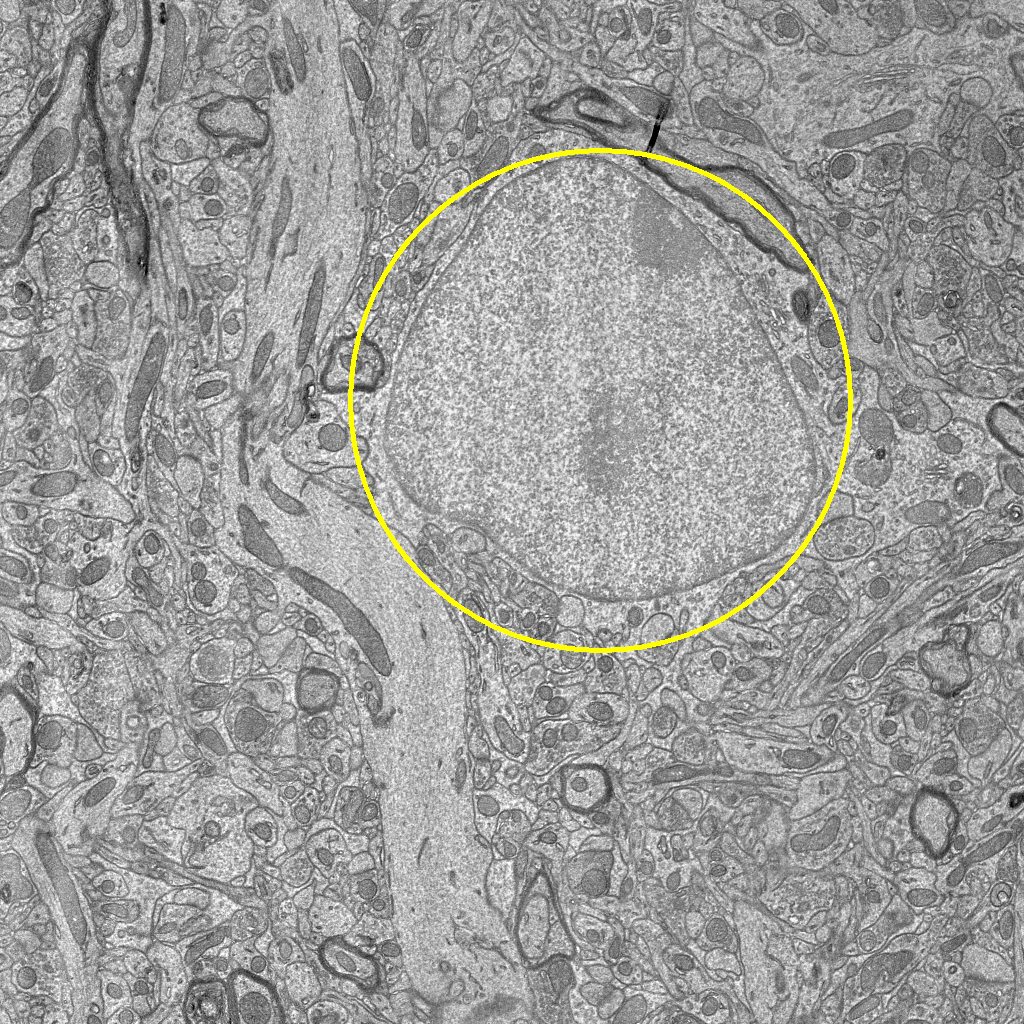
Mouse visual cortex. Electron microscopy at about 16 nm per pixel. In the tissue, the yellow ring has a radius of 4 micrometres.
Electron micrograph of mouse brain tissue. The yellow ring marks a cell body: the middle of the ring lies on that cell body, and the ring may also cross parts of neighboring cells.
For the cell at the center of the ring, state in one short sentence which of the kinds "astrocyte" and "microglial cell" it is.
This ring's center lies on an astrocyte.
